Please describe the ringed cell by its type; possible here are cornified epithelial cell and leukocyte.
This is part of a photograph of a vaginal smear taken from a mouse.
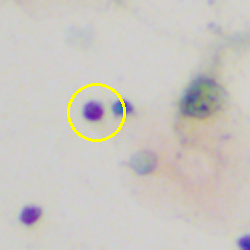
The yellow ring marks a leukocyte.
